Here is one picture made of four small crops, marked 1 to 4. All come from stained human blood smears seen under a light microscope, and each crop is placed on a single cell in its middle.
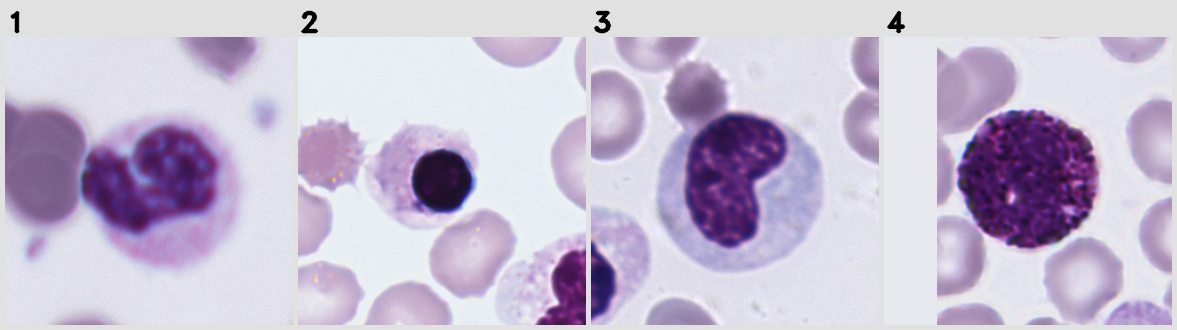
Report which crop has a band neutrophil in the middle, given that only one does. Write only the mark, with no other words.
3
